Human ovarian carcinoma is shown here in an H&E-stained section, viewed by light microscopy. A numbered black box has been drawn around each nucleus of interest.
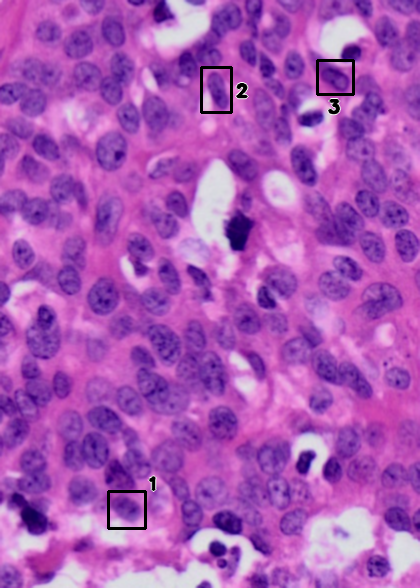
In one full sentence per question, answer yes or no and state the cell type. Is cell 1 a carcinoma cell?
Yes, it checks out; the cell labelled 1 is a carcinoma cell.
